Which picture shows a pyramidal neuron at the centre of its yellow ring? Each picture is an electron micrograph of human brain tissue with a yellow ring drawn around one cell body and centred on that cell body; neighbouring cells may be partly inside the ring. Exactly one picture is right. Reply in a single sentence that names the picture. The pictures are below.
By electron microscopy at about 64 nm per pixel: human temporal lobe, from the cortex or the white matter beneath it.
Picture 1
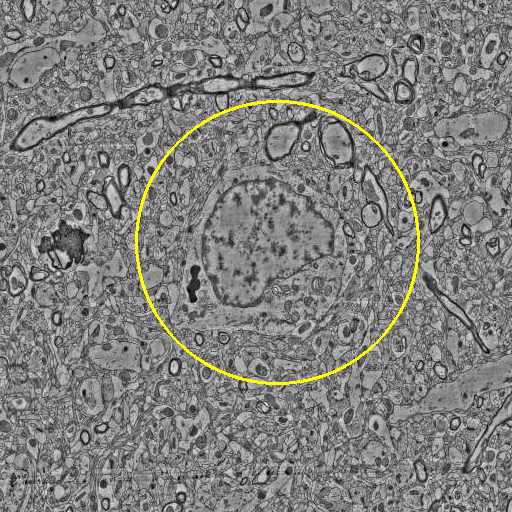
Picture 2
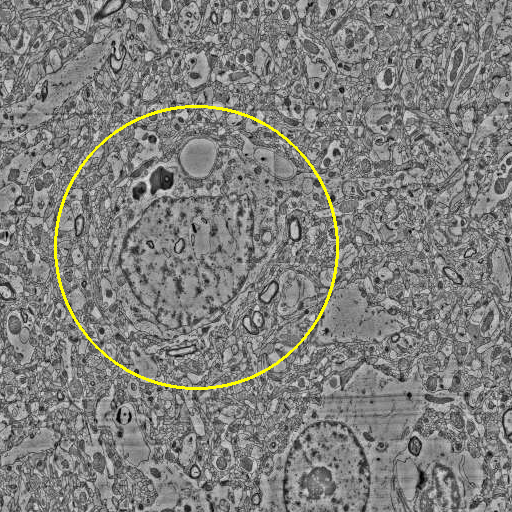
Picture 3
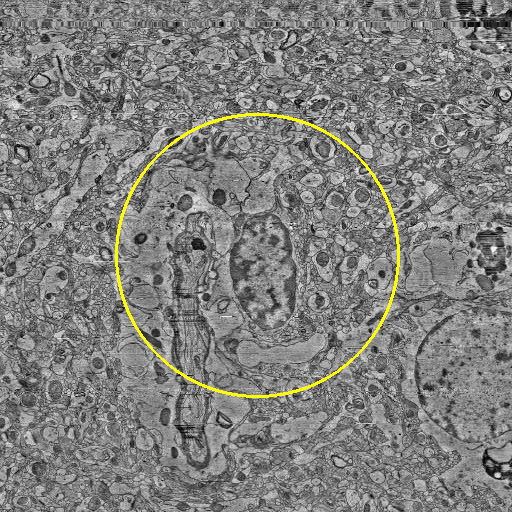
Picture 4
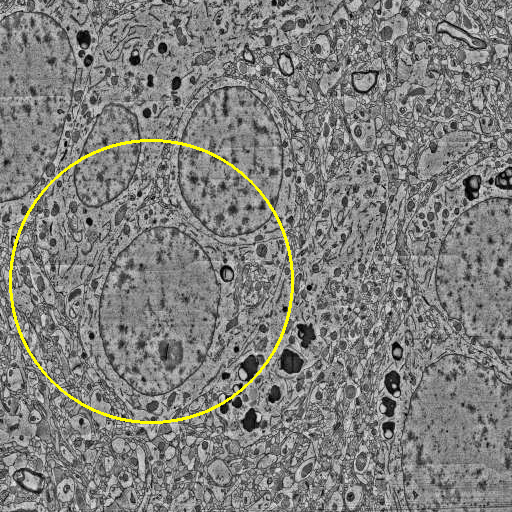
Picture 4 shows it.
